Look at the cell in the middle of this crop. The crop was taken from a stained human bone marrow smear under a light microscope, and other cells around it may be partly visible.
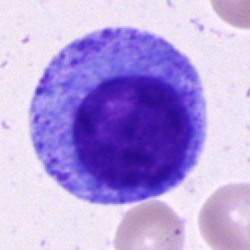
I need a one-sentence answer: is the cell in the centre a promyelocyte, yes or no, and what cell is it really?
Yes, the cell in the middle of this smear crop is a promyelocyte.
